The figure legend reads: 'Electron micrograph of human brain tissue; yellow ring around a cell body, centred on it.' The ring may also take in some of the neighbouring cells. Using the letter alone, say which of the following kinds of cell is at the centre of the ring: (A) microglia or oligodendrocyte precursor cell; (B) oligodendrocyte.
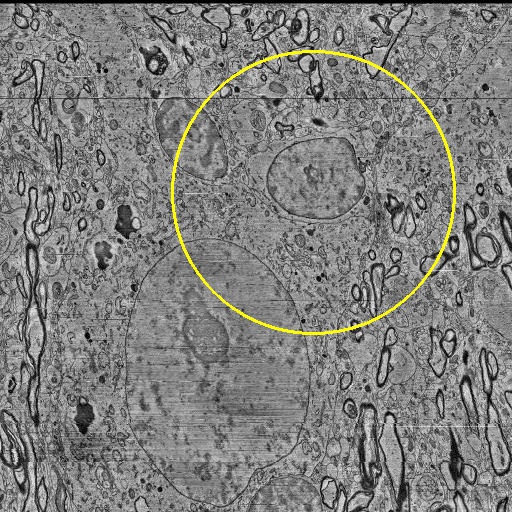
A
